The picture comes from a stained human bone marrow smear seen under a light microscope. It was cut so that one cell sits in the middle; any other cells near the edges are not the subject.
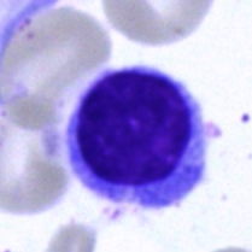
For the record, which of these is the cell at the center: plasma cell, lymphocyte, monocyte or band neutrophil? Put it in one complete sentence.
Answering briefly, the cell in the middle is a lymphocyte.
